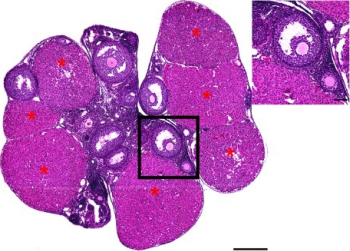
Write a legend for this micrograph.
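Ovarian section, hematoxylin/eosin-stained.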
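Most of the section is taken up by large, solid, pale pink rounded lobes made of big cells with abundant eosinophilic cytoplasm, each marked by an asterisk. Between them lie purple follicles: some with multiple layers of granulosa cells, others with a wide fluid-filled cavity and an oocyte sitting in a mound of cells at one side, as seen enlarged in the inset. The pink lobes are corpora lutea, remnants of follicles that have ovulated, lying among growing and antral follicles in a mature ovary.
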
